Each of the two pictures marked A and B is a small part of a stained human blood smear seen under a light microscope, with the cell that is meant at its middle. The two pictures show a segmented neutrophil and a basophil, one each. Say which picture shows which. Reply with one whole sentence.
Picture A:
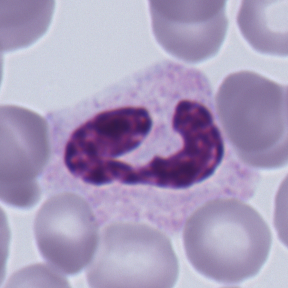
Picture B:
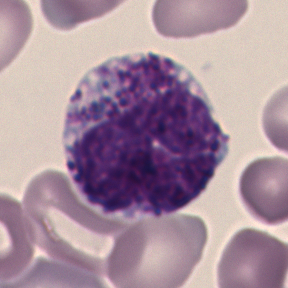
The cell in picture A is a segmented neutrophil, and the one in picture B is a basophil.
